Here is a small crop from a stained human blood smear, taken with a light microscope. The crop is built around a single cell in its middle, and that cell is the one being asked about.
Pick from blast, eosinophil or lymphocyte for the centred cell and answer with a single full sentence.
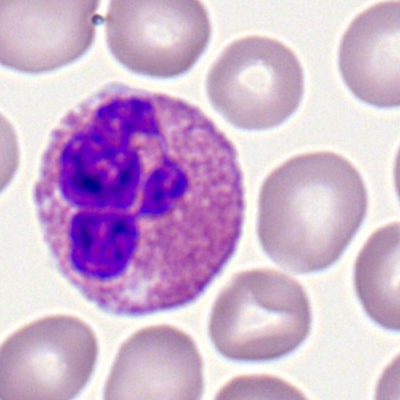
The cell centred in this crop is categorized as an eosinophil.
